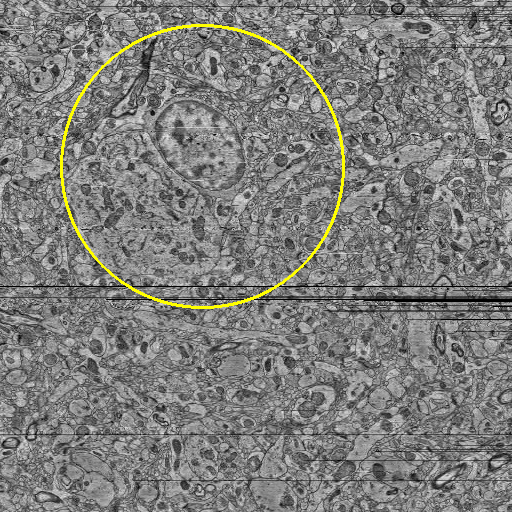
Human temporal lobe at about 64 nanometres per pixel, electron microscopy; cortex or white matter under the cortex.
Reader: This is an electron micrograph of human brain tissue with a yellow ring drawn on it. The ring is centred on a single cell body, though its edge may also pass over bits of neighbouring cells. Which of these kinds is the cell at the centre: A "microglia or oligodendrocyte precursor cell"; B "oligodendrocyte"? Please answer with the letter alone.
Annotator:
B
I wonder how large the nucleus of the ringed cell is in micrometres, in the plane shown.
Roughly 7 micrometres by 5 micrometres, in this plane.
